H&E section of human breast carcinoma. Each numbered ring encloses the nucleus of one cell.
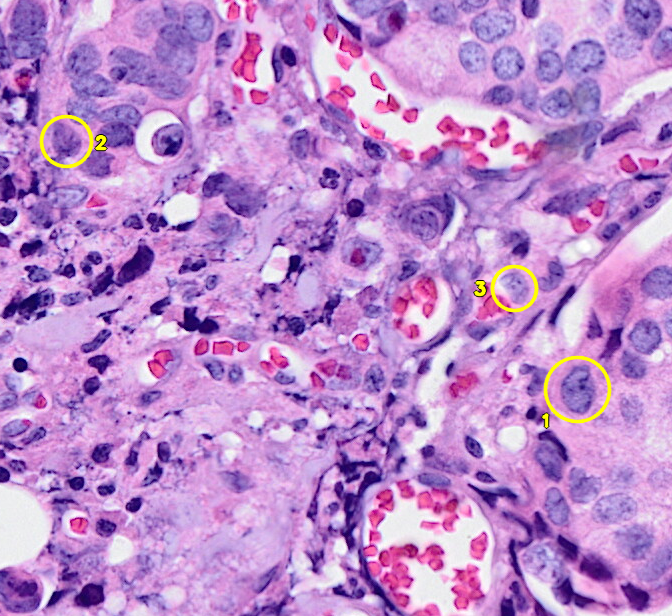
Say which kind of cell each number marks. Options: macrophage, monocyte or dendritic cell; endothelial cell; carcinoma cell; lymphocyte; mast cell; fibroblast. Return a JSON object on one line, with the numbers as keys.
{"1": "carcinoma cell", "2": "carcinoma cell", "3": "endothelial cell"}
